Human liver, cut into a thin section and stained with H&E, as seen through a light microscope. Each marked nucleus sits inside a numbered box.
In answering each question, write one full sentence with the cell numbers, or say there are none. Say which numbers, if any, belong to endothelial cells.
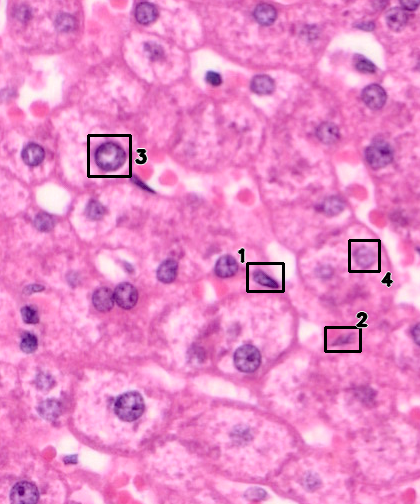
Cell 2 is an endothelial cell; the remaining numbered cells are not.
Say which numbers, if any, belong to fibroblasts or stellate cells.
Whereas cell 1 is a fibroblast or stellate cell, the other numbered cells are not.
